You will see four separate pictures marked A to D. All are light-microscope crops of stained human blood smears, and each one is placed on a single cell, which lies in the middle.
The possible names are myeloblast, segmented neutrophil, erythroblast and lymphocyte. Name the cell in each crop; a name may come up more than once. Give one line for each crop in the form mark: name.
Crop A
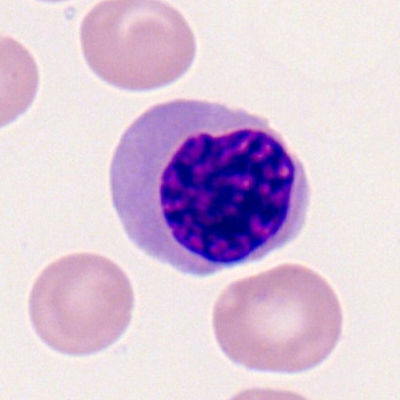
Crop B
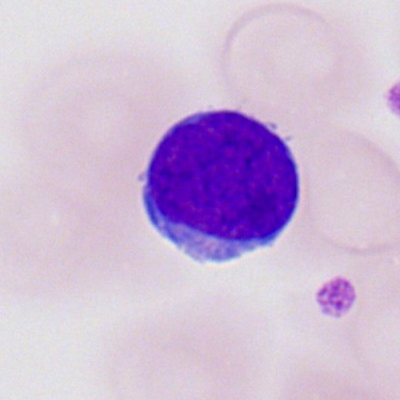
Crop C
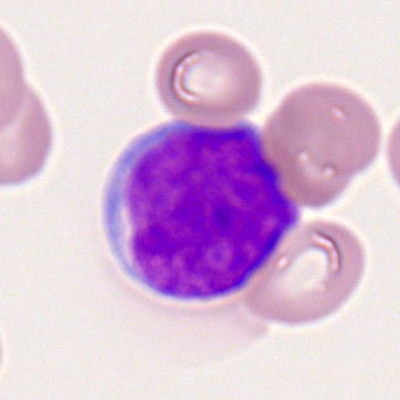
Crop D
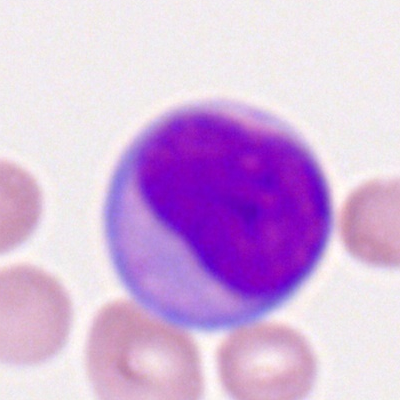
A: erythroblast
B: lymphocyte
C: myeloblast
D: myeloblast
